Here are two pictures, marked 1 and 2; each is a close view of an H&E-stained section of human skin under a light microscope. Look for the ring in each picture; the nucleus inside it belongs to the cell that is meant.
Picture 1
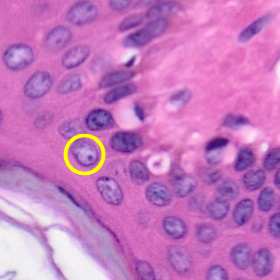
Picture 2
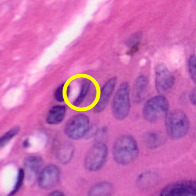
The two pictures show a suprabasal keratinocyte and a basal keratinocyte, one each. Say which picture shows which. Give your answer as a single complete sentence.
The cell in picture 1 is a suprabasal keratinocyte, and the one in picture 2 is a basal keratinocyte.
